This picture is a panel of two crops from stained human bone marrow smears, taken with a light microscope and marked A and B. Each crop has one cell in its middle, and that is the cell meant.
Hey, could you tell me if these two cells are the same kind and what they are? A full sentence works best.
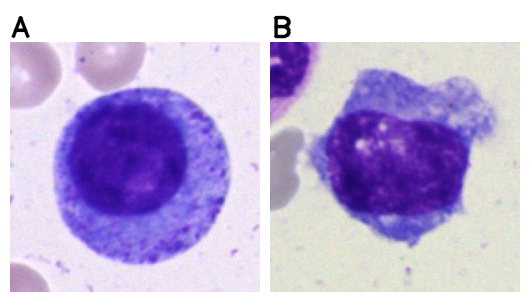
No, crop A has a promyelocyte at its center, and crop B has a monocyte.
